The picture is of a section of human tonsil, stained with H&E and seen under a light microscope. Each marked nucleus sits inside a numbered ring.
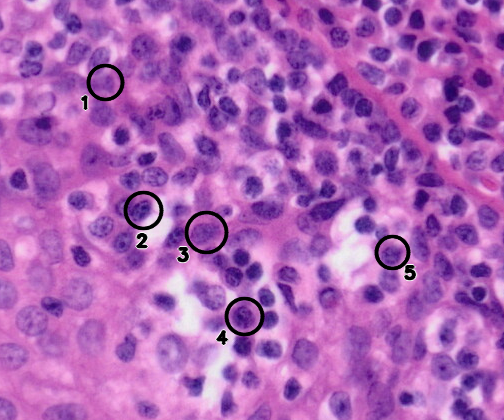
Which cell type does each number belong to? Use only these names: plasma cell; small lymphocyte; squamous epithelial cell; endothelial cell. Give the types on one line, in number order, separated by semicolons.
squamous epithelial cell; plasma cell; squamous epithelial cell; plasma cell; plasma cell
